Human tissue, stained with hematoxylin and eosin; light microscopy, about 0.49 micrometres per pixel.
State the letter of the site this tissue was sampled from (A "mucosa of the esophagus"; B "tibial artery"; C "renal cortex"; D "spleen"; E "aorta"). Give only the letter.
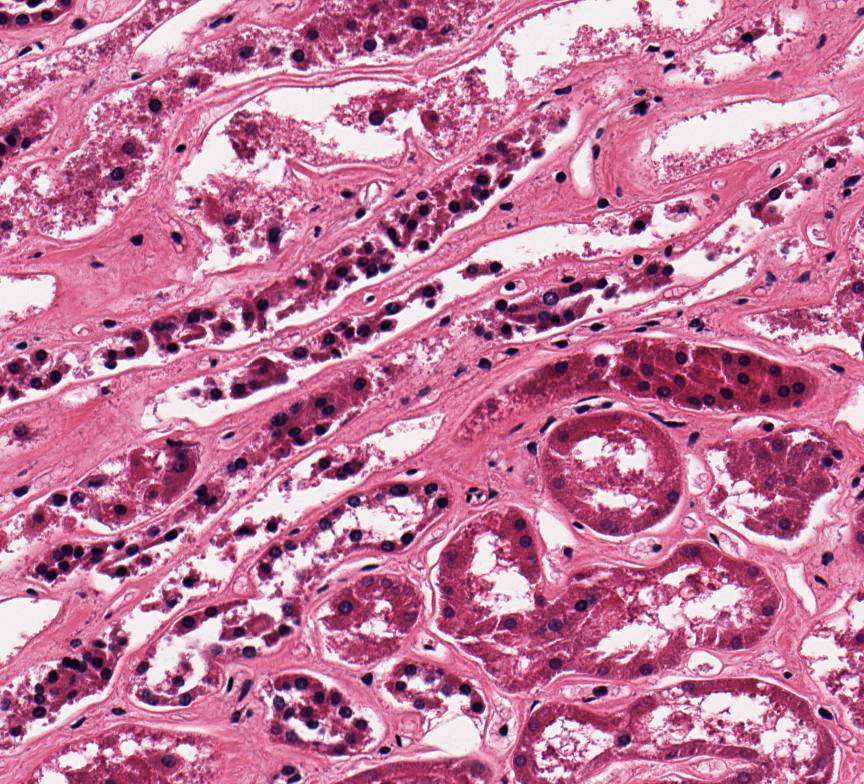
C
